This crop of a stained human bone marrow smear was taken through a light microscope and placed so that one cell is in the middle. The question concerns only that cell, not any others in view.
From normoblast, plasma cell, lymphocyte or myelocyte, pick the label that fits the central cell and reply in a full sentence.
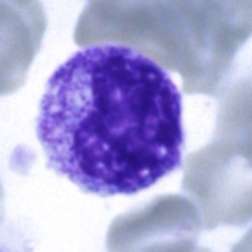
What sits at the centre of this crop is a myelocyte.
